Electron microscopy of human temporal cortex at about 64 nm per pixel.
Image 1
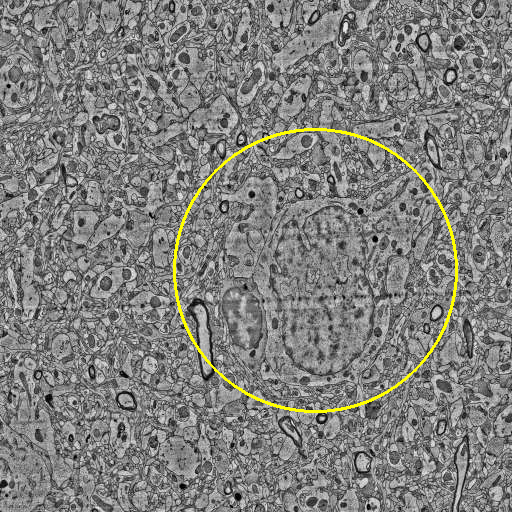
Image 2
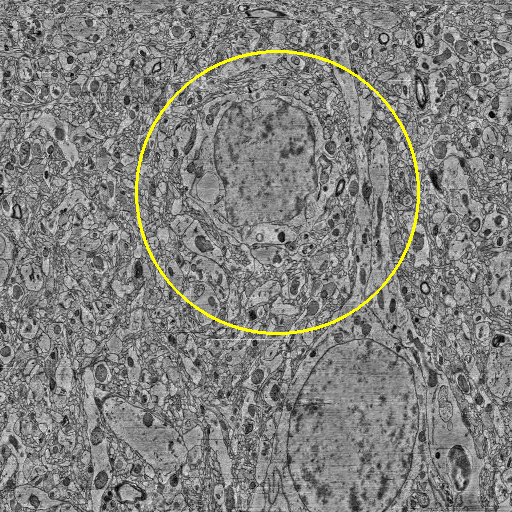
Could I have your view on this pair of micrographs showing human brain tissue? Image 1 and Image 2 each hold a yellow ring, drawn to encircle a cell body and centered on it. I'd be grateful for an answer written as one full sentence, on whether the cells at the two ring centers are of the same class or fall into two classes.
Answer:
The cells at the centers of the two rings are of the same class.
